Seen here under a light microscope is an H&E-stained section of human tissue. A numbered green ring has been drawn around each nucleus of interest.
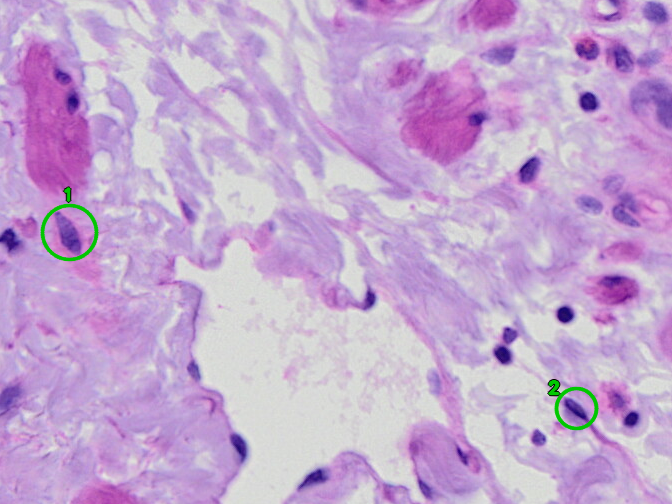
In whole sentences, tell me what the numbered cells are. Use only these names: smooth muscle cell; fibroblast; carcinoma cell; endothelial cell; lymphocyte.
Cell 1 is a smooth muscle cell. Cell 2 is a fibroblast.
